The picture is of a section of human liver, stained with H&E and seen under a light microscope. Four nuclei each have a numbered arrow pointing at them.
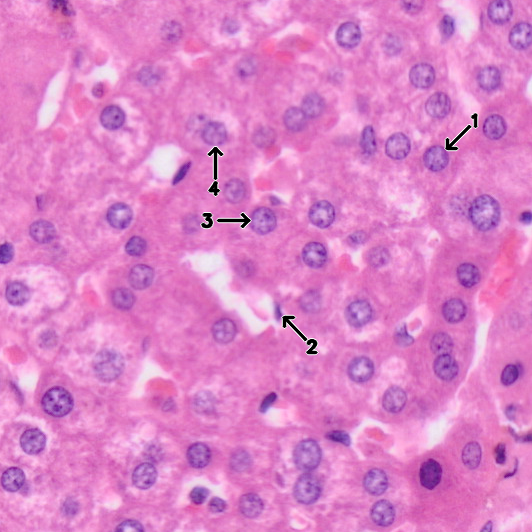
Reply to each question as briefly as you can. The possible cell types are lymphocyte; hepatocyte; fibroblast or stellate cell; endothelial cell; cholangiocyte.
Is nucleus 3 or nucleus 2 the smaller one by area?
2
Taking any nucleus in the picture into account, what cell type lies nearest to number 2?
hepatocyte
